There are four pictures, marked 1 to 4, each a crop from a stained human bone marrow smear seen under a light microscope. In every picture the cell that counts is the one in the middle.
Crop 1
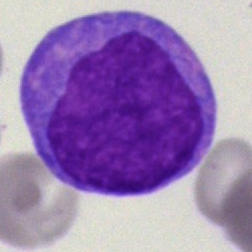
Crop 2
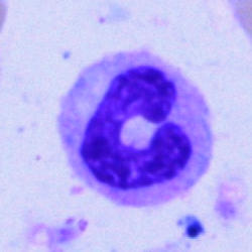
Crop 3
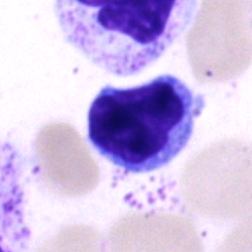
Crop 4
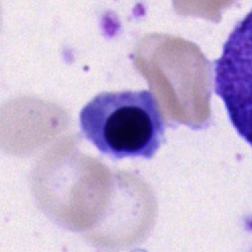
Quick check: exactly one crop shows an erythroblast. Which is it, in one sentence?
The requested cell, an erythroblast, is the one in crop 4.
